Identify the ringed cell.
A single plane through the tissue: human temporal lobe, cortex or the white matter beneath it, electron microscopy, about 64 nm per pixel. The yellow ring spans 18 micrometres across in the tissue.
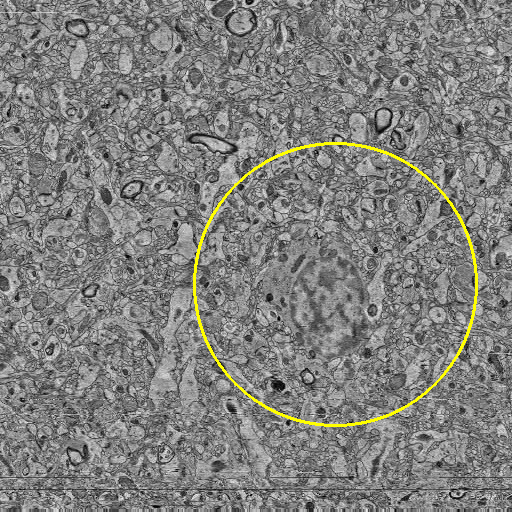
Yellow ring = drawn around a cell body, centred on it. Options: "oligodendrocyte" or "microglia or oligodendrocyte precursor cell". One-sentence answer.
What the ring is centred on is an oligodendrocyte.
